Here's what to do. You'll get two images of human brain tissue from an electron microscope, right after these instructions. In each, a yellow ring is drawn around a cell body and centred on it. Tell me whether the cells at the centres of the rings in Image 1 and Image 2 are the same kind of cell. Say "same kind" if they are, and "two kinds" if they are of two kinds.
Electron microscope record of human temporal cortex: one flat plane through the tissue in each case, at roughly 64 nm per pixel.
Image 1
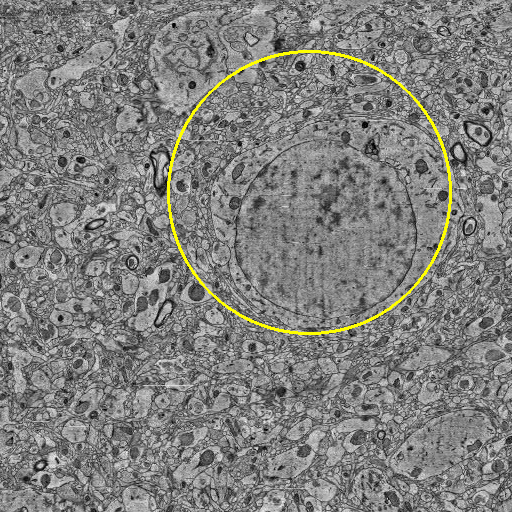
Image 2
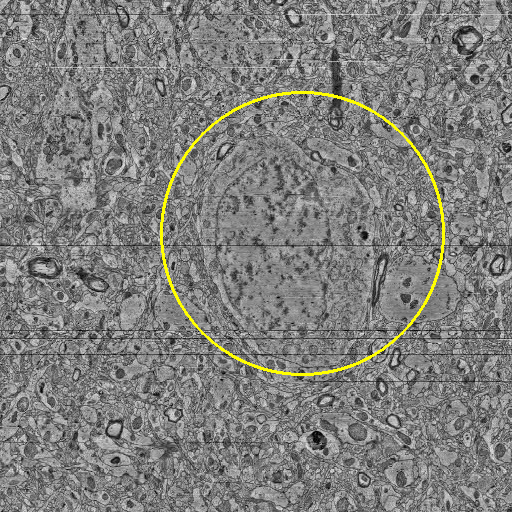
two kinds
